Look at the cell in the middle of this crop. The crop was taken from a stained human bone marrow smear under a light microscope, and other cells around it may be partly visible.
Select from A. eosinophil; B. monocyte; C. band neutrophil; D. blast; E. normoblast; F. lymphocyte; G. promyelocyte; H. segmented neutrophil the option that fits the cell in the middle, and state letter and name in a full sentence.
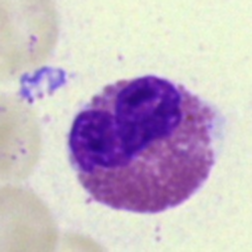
The correct response is option A, naming the cell in the middle as an eosinophil.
